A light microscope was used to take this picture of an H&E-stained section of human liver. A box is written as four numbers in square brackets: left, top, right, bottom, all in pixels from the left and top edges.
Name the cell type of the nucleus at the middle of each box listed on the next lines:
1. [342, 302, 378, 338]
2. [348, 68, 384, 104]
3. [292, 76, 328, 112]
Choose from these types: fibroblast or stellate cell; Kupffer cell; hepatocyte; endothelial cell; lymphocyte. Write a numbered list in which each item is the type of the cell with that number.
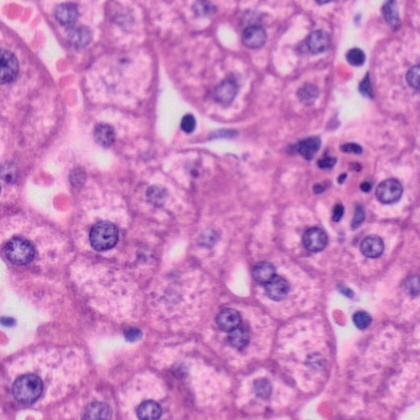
1. lymphocyte
2. endothelial cell
3. hepatocyte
